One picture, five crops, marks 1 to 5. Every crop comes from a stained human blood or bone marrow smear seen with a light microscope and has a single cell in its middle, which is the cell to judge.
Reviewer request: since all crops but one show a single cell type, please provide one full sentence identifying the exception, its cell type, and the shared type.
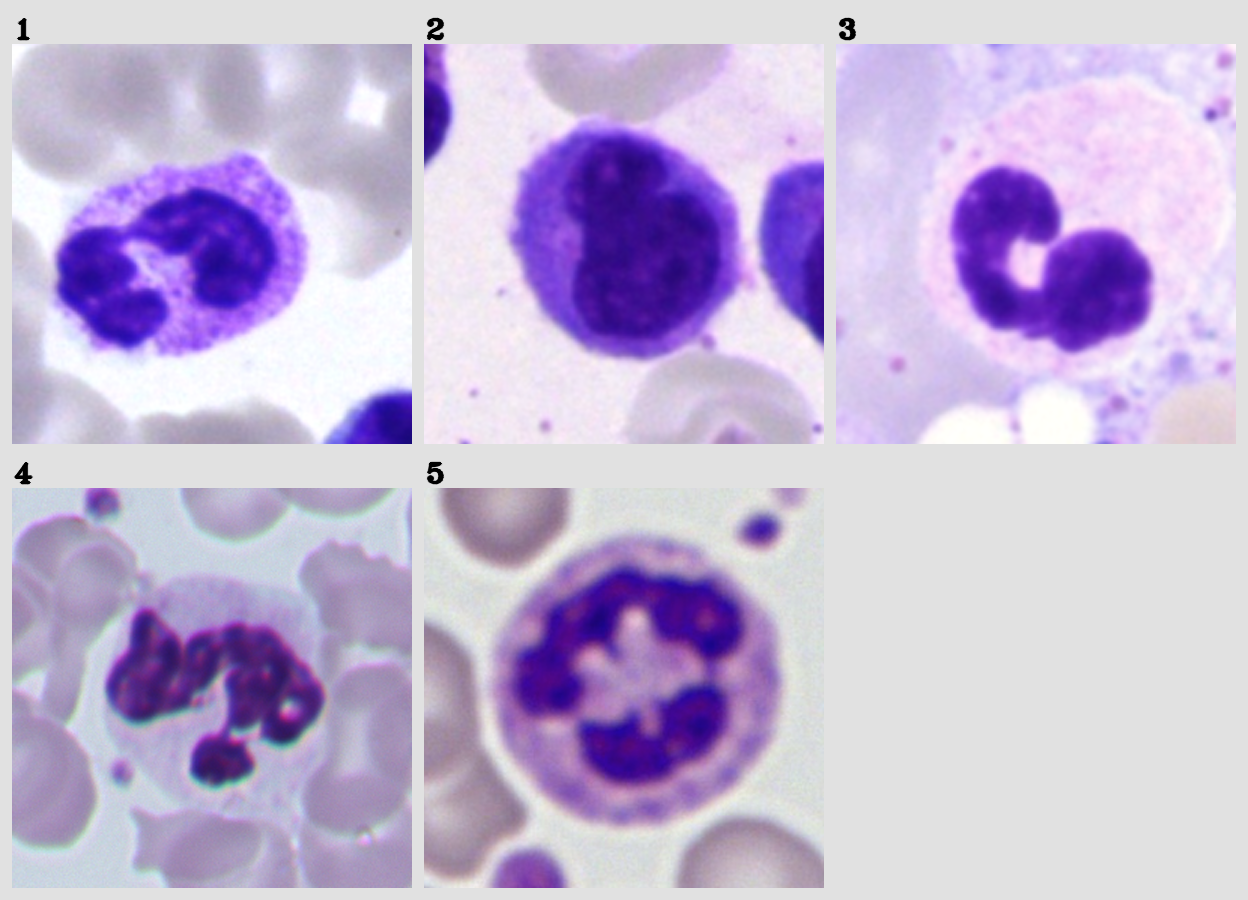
Crop 2 shows a monocyte; by contrast, all the other crops show segmented neutrophils.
